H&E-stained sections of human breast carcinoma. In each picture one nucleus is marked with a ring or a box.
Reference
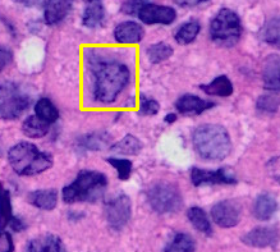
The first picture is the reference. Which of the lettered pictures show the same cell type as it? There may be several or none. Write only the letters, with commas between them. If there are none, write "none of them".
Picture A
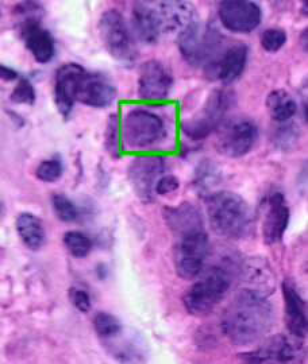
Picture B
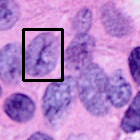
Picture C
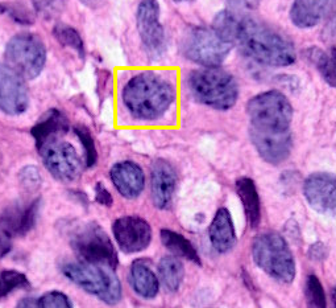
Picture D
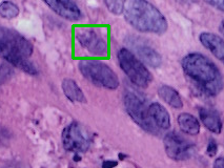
A, B, C, D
